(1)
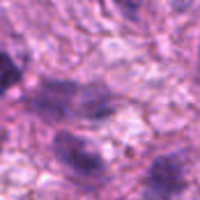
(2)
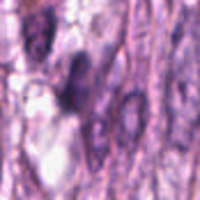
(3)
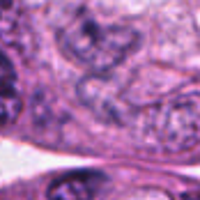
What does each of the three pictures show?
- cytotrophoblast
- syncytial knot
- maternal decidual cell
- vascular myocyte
(1) vascular myocyte
(2) maternal decidual cell
(3) cytotrophoblast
